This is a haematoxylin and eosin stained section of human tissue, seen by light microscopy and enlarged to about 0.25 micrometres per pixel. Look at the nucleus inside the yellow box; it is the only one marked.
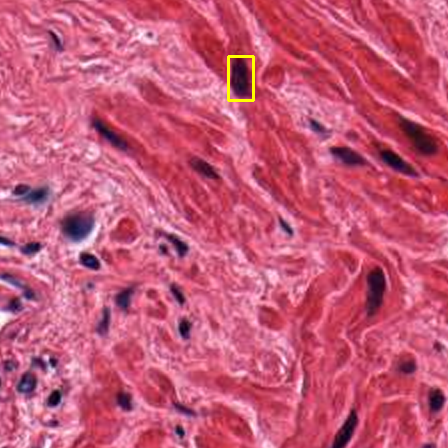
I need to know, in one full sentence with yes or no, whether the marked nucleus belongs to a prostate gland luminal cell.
No, in the field shown, the nucleus that is marked is not from a prostate gland luminal cell.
